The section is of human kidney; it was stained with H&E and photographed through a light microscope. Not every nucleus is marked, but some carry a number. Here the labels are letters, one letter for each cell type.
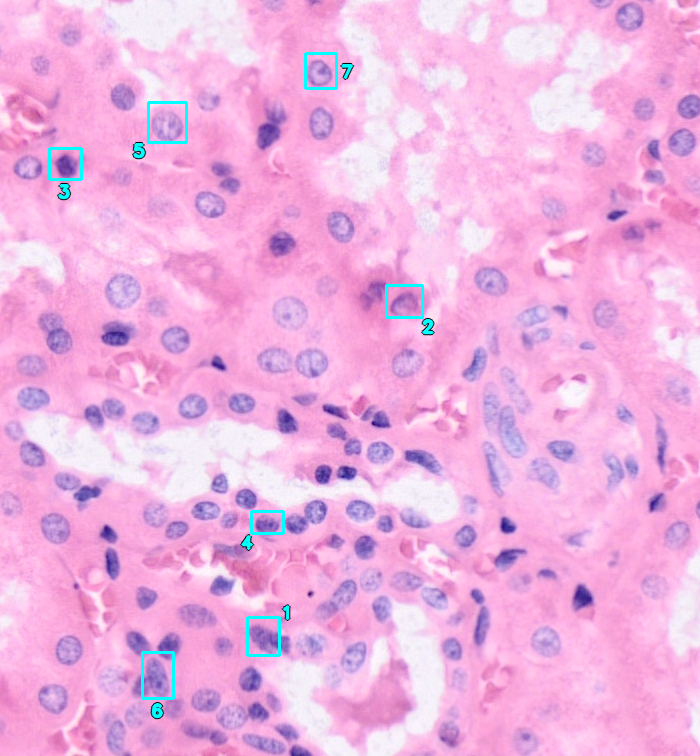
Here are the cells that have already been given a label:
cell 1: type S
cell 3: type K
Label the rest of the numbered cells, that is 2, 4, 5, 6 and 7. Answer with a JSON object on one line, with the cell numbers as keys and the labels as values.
{"2": "type K", "4": "type S", "5": "type K", "6": "type S", "7": "type K"}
